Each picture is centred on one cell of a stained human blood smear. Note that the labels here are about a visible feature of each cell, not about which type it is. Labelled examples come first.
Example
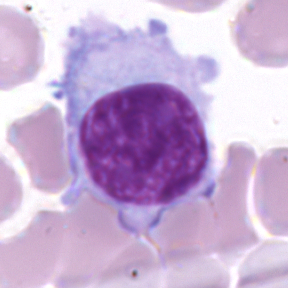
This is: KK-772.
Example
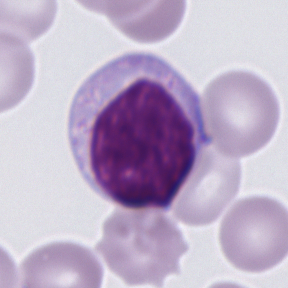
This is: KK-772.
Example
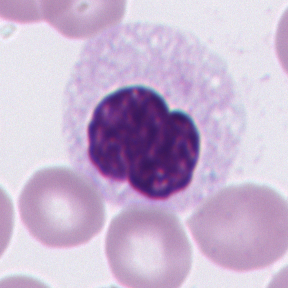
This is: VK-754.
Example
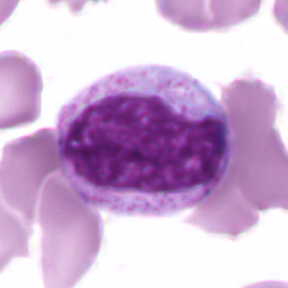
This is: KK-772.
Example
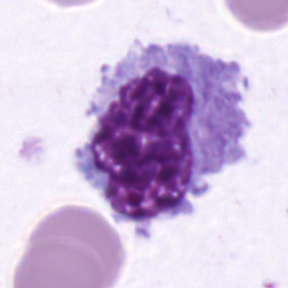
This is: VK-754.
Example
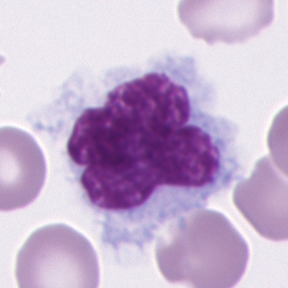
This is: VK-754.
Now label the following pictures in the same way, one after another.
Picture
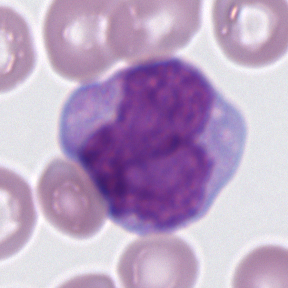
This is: VK-754.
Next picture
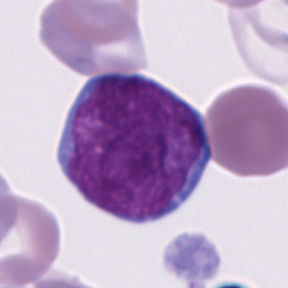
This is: KK-772.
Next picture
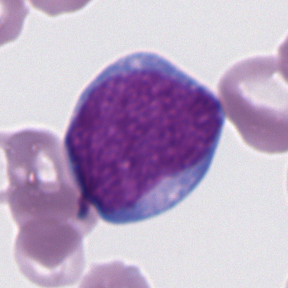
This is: KK-772.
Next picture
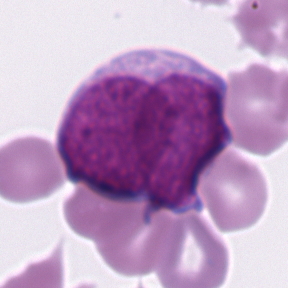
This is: VK-754.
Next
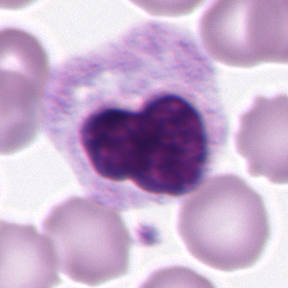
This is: KK-772.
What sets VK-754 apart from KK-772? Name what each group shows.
VK-754, lobed nucleus; KK-772, single compact nucleus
